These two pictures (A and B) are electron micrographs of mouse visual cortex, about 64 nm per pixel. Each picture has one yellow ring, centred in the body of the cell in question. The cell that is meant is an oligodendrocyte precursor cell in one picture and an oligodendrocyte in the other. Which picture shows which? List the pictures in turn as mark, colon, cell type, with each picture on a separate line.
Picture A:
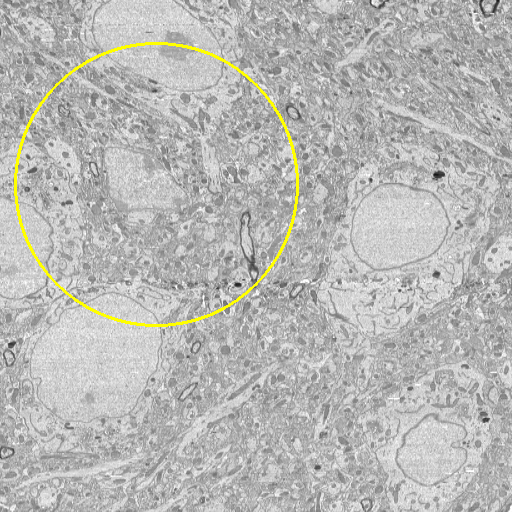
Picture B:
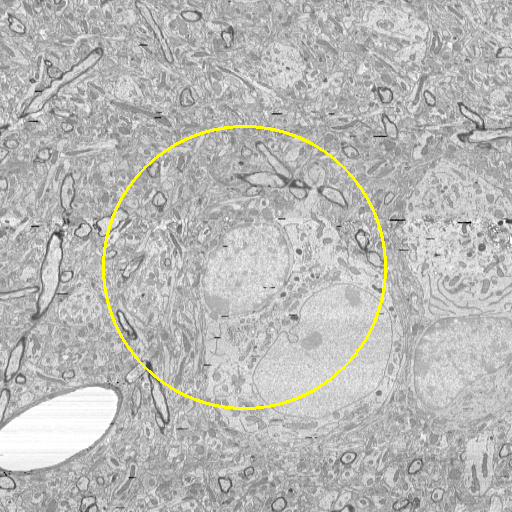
A: oligodendrocyte precursor cell
B: oligodendrocyte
